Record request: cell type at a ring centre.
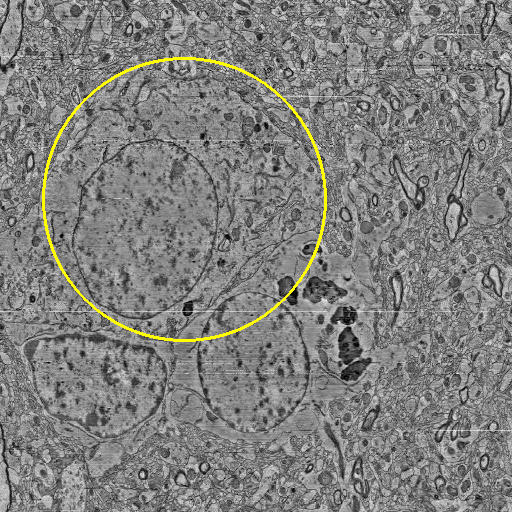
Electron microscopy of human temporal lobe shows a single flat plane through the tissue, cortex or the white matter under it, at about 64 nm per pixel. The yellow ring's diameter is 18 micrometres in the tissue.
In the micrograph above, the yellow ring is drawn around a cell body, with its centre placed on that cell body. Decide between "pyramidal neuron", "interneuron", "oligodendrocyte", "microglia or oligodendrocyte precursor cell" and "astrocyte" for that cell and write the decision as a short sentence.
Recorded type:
The cell centred in the yellow ring is a pyramidal neuron.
